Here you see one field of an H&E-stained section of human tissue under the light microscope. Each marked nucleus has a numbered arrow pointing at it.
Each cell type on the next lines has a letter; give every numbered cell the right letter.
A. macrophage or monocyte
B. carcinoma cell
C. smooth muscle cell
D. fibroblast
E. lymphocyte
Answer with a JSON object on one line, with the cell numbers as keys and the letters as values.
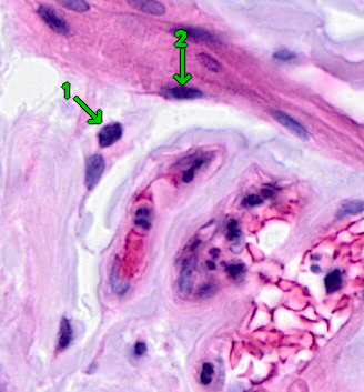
{"1": "E", "2": "C"}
